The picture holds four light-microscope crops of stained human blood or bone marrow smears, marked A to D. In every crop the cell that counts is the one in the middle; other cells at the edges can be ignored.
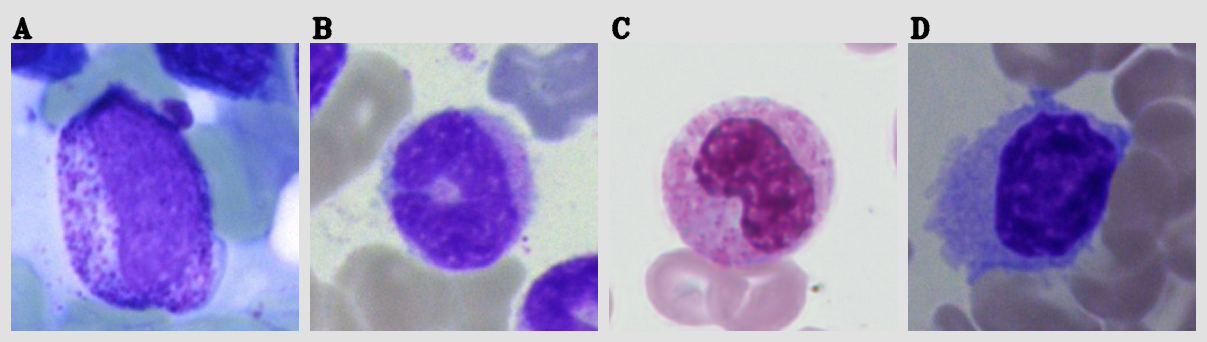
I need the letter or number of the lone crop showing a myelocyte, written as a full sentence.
The sole crop showing a myelocyte is crop A.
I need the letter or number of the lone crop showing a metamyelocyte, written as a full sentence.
In this series, a metamyelocyte is shown by crop C.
